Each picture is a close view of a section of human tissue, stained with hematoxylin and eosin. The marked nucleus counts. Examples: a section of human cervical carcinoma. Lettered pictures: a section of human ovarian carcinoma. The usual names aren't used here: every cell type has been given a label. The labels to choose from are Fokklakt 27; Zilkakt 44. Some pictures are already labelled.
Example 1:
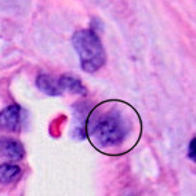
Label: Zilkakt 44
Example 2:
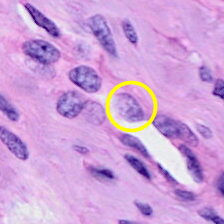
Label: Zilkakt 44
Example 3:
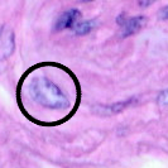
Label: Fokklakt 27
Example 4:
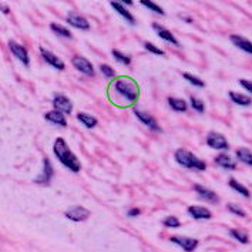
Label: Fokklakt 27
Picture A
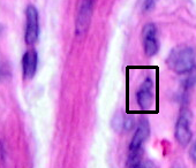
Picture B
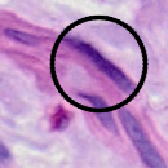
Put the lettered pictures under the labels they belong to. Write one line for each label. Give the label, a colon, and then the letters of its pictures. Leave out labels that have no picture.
Fokklakt 27: B
Zilkakt 44: A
